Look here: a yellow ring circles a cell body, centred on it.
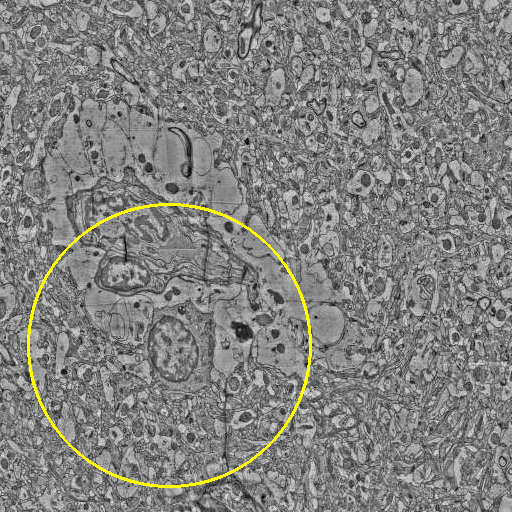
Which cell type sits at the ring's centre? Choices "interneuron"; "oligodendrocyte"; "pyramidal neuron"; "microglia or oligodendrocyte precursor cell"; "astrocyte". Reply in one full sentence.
The cell at the centre of the yellow ring in the picture is an oligodendrocyte.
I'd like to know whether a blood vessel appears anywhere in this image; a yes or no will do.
Yes, the picture includes a blood vessel.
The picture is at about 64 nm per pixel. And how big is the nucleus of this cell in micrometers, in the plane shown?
The nucleus appears roughly 4 by 3 micrometres in this plane.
